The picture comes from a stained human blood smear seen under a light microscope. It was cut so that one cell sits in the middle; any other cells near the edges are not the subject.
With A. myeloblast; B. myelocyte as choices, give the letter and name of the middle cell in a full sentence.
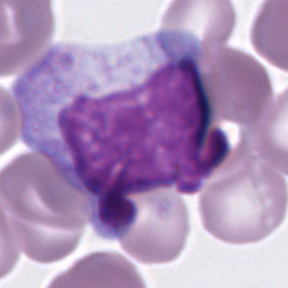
Option B is the correct option, with the middle cell being a myelocyte.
